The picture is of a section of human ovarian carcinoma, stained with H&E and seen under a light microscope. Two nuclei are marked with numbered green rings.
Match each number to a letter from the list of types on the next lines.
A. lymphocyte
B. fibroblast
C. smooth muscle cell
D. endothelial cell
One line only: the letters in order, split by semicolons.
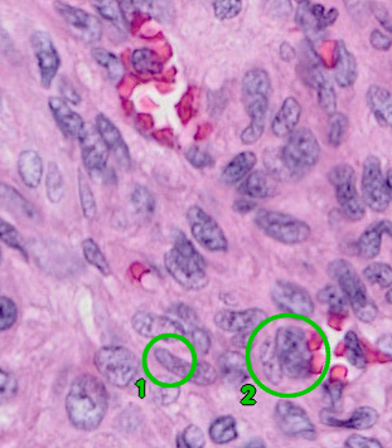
B; D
